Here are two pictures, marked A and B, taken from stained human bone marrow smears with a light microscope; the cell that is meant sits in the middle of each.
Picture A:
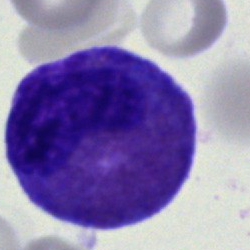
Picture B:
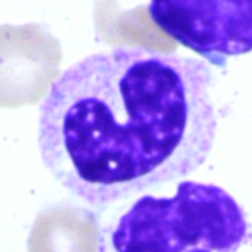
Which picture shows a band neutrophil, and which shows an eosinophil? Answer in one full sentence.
Picture A is of an eosinophil, and picture B is of a band neutrophil.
